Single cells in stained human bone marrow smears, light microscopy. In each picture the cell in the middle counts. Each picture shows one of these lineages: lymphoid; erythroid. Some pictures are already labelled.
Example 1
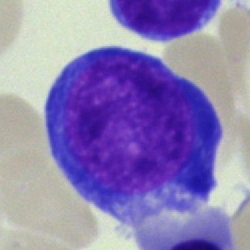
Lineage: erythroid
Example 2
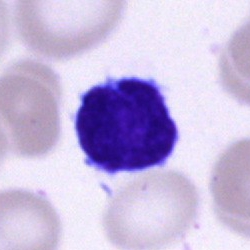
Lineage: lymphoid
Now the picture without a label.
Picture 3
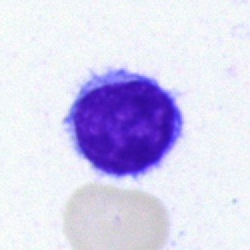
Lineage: lymphoid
